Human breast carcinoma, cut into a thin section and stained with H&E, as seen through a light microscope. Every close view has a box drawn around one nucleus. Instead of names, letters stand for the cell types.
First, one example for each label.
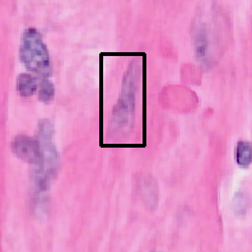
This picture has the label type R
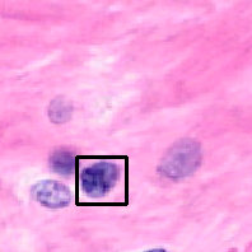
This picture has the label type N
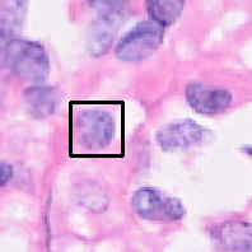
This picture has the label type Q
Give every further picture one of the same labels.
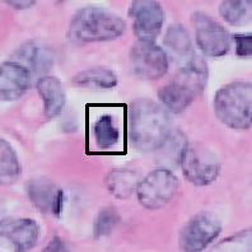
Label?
type N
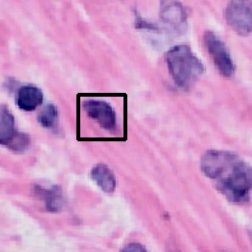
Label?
type N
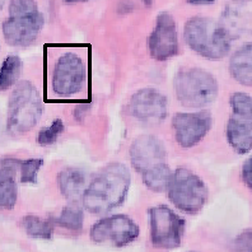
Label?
type Q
